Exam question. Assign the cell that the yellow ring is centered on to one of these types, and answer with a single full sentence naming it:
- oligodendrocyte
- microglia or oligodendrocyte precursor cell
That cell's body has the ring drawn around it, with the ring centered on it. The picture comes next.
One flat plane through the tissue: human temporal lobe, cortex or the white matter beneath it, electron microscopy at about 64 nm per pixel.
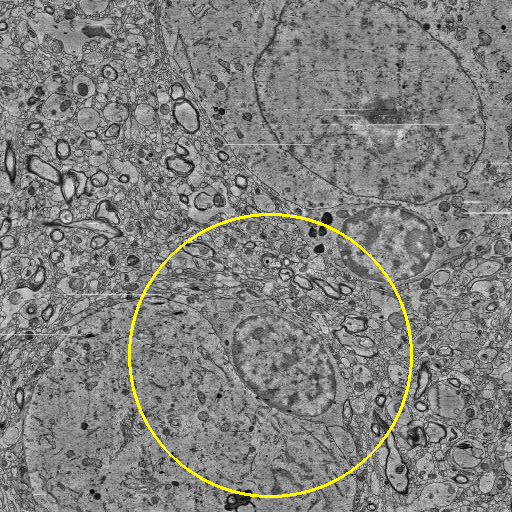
In the micrograph, the cell the yellow ring is centered on is a microglial cell or oligodendrocyte precursor cell.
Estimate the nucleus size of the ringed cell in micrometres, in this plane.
In this plane the nucleus is about 8 micrometres by 5.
